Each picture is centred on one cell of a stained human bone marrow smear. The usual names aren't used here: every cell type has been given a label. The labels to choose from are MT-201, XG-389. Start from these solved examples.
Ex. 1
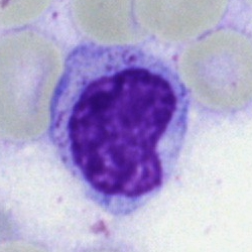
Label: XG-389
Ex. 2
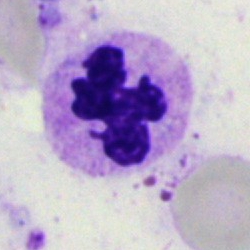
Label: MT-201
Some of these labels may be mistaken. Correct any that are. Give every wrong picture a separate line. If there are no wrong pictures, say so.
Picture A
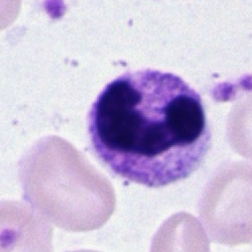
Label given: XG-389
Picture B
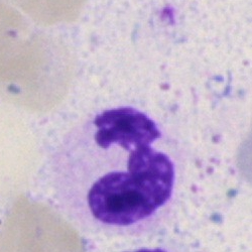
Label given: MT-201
Wrong: A (XG-389); correct: MT-201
